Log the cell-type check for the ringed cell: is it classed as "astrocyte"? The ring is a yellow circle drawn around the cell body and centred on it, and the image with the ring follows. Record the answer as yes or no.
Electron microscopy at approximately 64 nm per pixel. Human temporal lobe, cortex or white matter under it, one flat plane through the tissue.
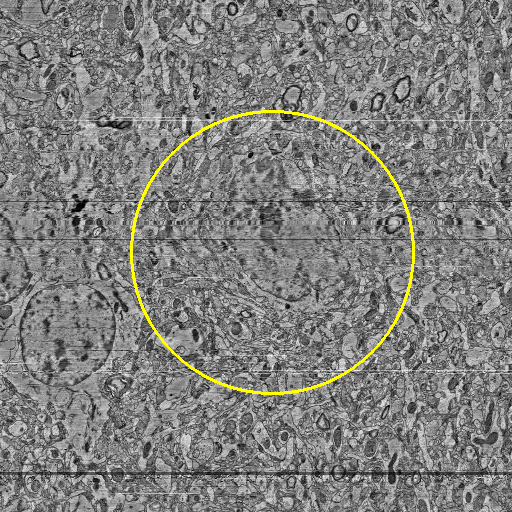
No, it is classed as another type.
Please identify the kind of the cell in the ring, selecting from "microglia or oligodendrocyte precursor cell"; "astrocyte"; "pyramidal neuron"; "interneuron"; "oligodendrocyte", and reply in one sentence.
The cell enclosed by the ring is an interneuron.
